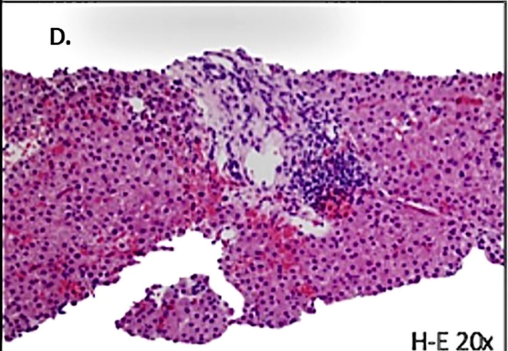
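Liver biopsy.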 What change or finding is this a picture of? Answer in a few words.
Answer: Lymphocytic infiltrate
